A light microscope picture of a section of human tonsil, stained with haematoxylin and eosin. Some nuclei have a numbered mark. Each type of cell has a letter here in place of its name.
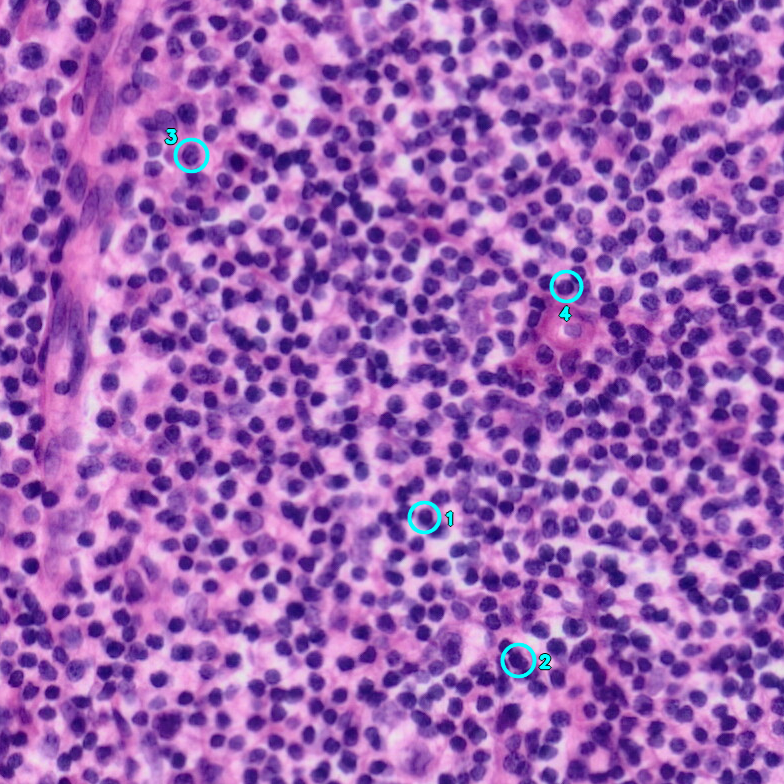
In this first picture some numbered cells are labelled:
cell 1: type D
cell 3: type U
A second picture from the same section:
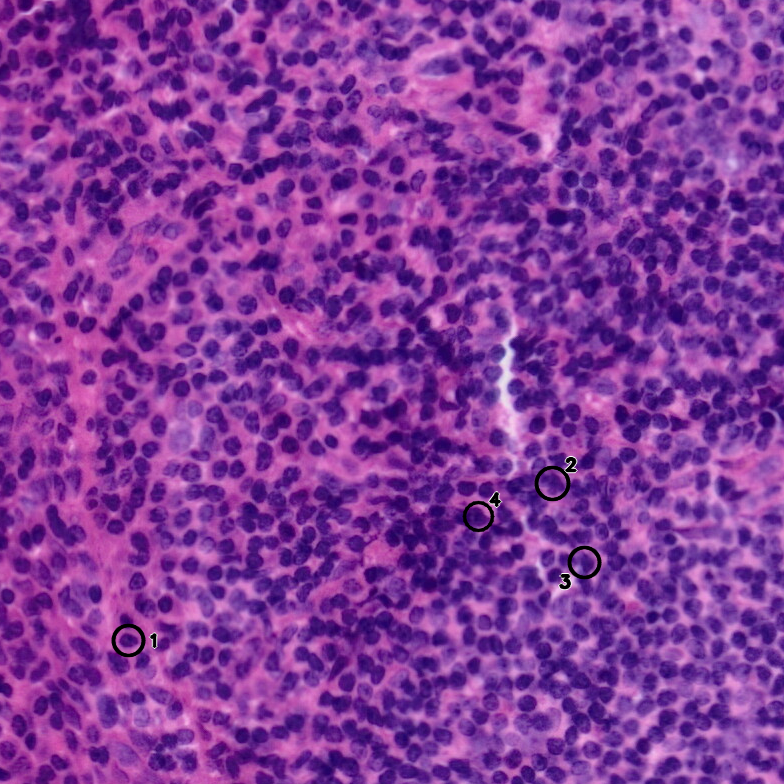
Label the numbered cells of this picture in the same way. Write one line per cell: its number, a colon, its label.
1: type U
2: type D
3: type D
4: type D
